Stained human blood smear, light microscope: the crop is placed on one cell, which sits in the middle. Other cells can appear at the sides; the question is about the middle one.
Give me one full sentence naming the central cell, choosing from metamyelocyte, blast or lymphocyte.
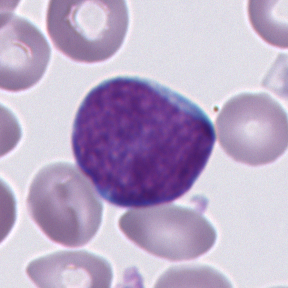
Present in the middle of the crop is a blast.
